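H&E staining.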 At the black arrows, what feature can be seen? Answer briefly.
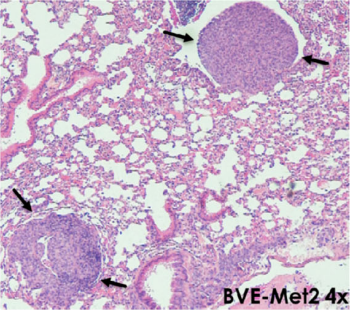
Metastatic foci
